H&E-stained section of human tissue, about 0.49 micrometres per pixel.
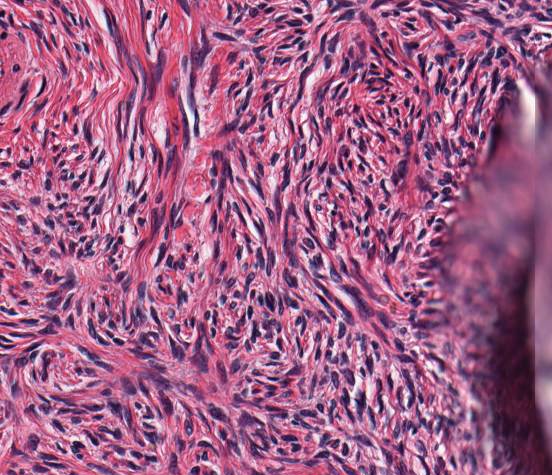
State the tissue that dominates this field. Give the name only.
ovarian cortex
